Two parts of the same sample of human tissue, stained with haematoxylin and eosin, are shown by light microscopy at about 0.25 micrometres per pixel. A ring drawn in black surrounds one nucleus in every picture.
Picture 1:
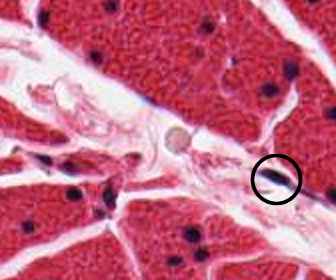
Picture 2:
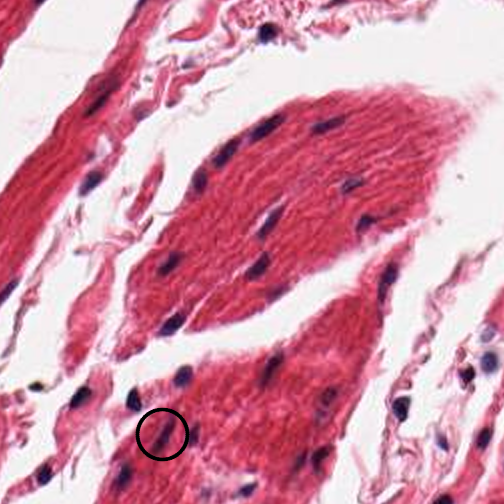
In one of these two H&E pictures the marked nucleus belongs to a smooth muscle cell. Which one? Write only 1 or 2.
2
